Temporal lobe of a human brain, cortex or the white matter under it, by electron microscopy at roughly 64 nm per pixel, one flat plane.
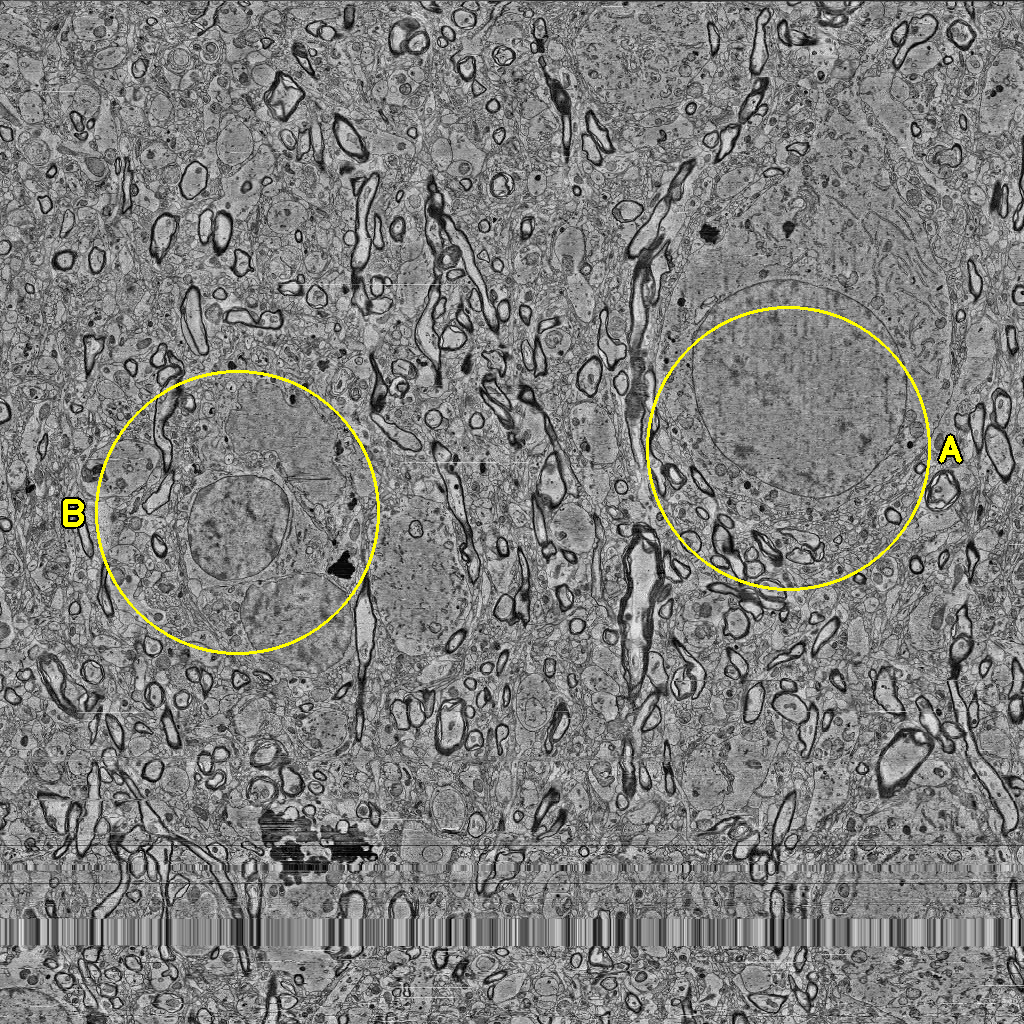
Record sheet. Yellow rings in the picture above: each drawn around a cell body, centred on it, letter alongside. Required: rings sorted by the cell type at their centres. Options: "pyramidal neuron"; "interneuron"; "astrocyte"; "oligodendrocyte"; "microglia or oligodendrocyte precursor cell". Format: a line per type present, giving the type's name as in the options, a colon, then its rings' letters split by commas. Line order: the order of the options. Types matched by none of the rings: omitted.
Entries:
pyramidal neuron: A
microglia or oligodendrocyte precursor cell: B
